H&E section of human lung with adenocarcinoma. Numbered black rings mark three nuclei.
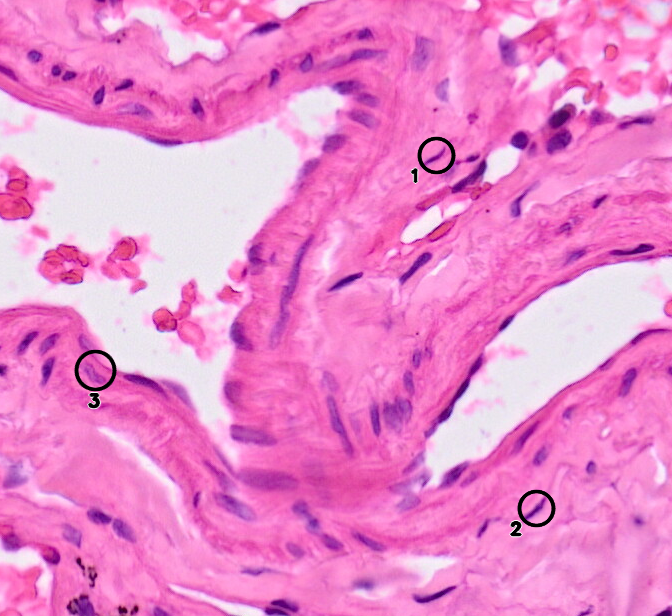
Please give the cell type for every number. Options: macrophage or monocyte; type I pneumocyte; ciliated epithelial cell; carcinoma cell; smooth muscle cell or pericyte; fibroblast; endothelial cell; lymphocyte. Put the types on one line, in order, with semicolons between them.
fibroblast; fibroblast; smooth muscle cell or pericyte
